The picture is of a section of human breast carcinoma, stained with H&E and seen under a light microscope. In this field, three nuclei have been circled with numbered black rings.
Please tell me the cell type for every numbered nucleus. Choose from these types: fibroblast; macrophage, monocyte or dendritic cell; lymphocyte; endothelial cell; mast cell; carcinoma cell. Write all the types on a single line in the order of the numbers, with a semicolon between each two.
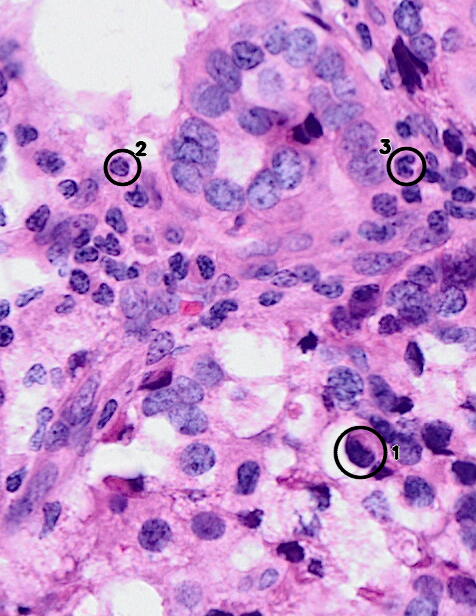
carcinoma cell; lymphocyte; lymphocyte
